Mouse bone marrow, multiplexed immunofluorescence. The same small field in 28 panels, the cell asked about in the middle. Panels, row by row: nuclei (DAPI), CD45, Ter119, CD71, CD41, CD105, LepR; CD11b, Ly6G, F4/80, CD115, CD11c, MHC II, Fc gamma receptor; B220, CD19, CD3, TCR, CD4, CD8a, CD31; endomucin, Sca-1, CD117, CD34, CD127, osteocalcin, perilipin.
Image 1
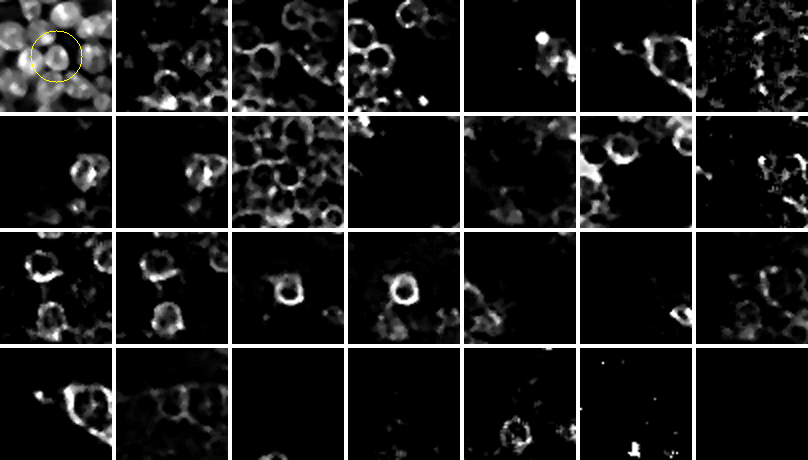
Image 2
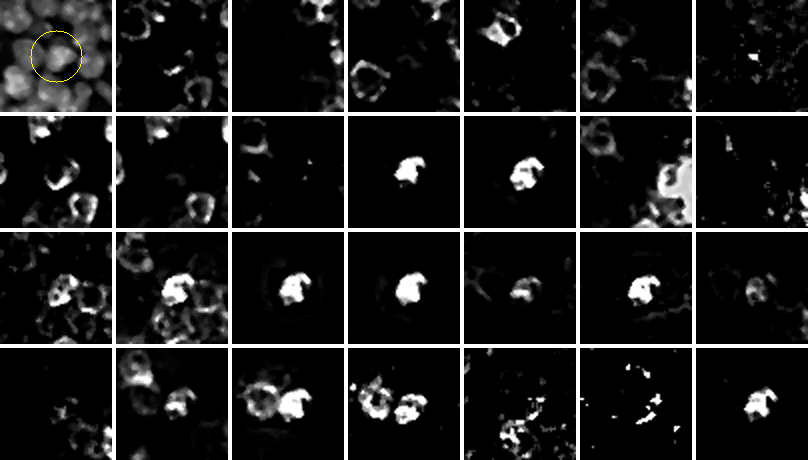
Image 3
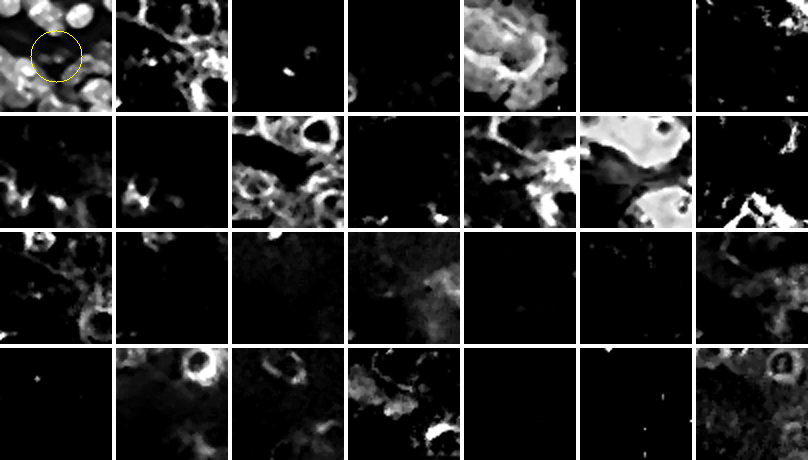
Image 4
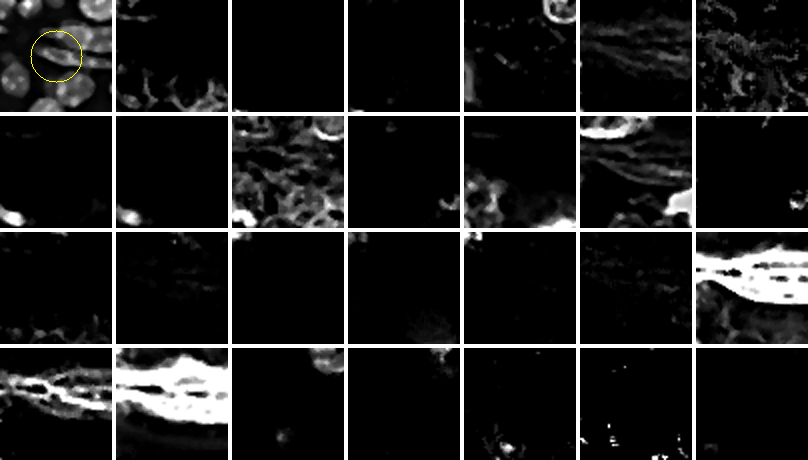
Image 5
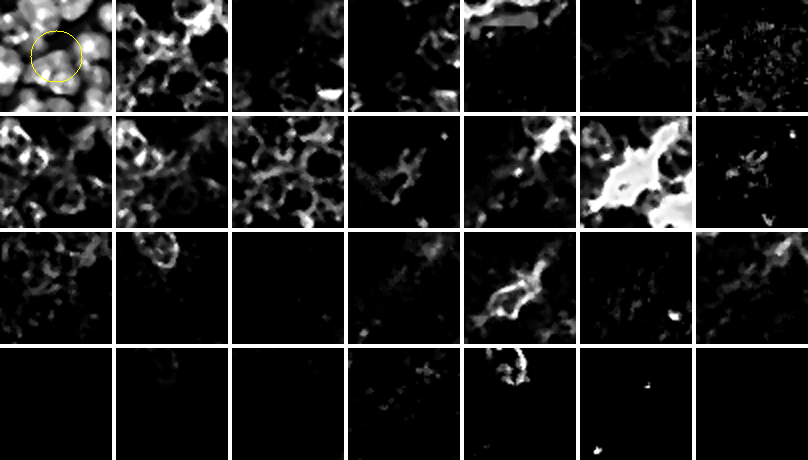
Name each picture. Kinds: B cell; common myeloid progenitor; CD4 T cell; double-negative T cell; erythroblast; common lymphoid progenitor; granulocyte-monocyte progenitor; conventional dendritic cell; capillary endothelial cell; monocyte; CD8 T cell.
(1) double-negative T cell
(2) B cell
(3) conventional dendritic cell
(4) capillary endothelial cell
(5) monocyte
